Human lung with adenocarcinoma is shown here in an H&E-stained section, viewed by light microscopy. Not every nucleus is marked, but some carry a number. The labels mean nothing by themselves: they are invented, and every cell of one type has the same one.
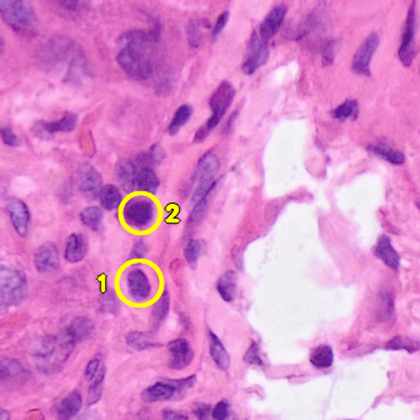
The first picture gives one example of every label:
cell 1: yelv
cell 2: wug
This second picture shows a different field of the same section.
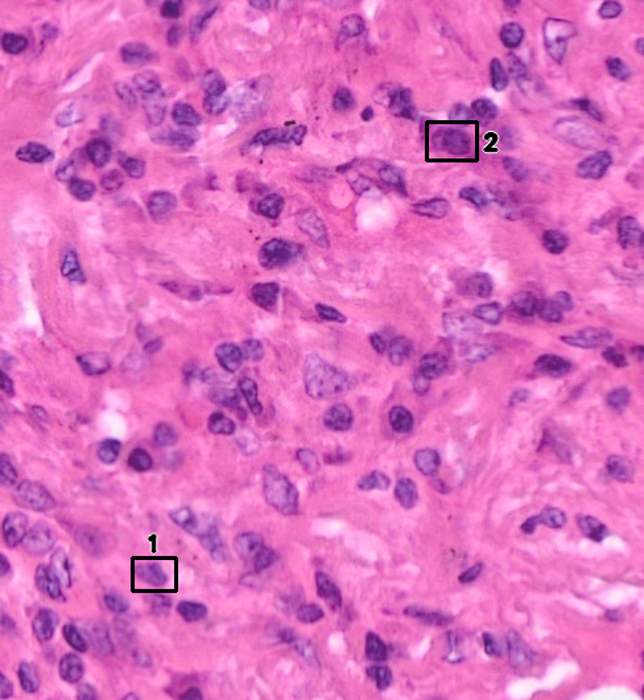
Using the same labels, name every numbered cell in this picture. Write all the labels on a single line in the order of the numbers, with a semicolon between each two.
yelv; wug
